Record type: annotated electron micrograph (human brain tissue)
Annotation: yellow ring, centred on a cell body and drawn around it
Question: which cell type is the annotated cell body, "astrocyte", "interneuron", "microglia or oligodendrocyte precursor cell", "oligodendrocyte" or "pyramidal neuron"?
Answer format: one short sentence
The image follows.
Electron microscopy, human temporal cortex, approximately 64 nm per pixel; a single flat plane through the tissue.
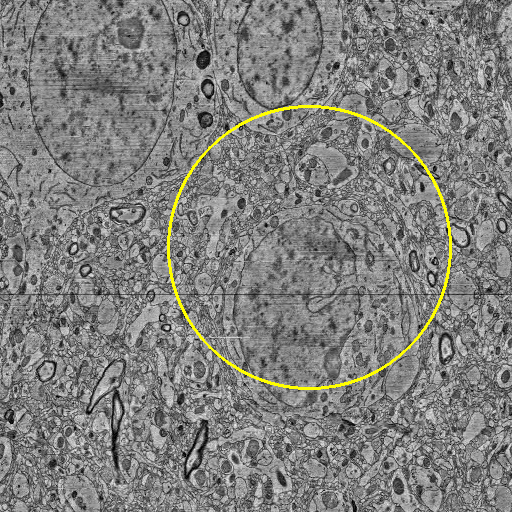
The annotated cell body is that of an interneuron.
